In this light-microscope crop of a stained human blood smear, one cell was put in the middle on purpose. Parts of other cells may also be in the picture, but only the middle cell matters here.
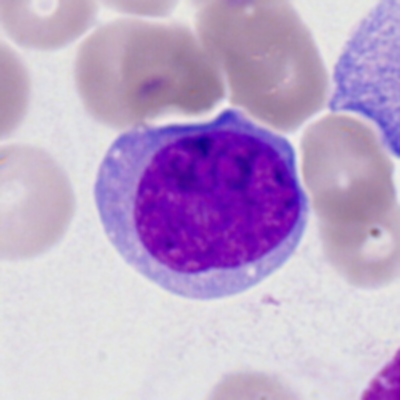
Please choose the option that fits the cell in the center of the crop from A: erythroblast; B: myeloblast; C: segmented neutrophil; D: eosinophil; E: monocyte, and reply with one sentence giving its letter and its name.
The centrally located cell is a myeloblast, making option B the correct choice.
